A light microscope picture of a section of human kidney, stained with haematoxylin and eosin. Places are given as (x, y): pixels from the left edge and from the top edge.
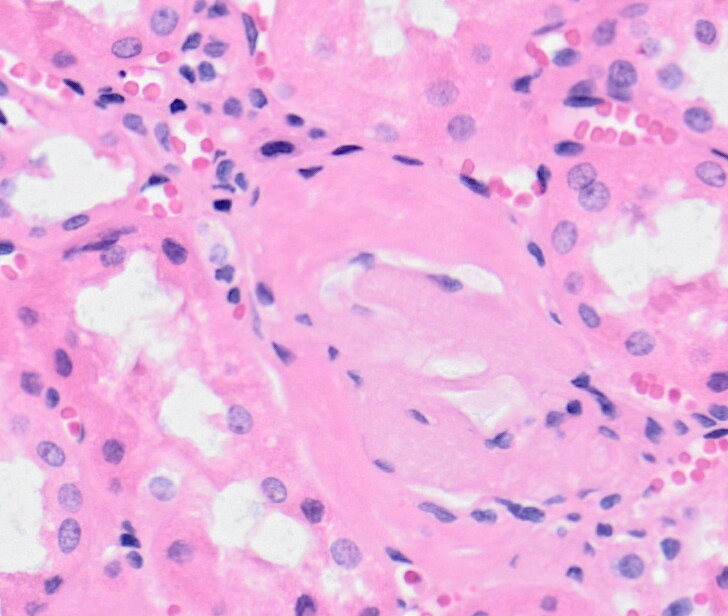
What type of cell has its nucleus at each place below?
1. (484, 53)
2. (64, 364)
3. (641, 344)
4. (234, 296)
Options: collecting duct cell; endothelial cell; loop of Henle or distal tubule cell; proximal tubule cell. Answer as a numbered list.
1. proximal tubule cell
2. proximal tubule cell
3. proximal tubule cell
4. endothelial cell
